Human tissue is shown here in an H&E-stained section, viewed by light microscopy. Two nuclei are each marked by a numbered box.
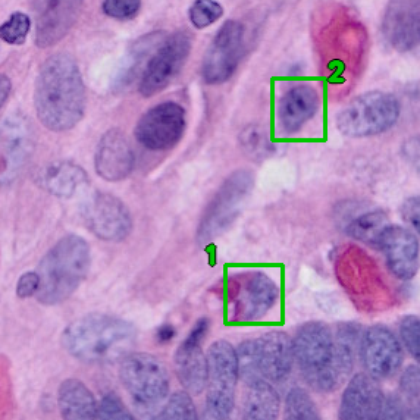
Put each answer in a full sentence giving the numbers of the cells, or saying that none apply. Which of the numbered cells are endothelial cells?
Where the numbered cells are concerned, only number 1 is an endothelial cell.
